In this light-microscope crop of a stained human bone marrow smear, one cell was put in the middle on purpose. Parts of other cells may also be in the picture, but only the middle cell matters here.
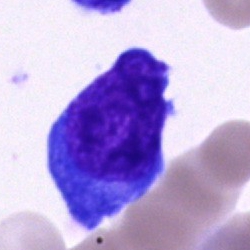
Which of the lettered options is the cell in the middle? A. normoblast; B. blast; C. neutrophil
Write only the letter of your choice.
B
